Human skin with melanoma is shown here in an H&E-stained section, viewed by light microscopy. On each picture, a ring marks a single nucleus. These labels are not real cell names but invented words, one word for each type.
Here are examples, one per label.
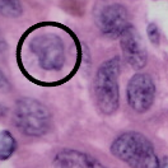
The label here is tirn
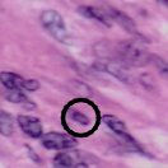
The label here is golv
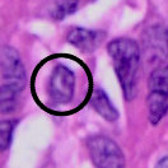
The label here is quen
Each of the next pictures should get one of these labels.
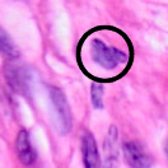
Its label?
golv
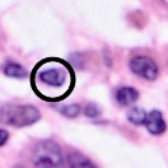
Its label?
golv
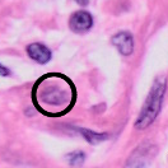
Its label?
tirn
